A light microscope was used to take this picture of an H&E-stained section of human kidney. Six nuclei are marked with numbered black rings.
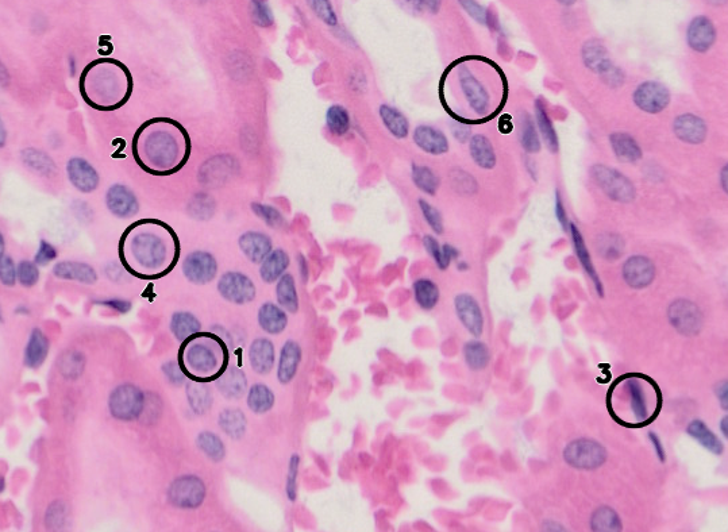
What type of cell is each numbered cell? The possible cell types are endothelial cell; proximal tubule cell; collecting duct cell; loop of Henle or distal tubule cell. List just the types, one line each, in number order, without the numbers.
collecting duct cell
proximal tubule cell
endothelial cell
collecting duct cell
proximal tubule cell
collecting duct cell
